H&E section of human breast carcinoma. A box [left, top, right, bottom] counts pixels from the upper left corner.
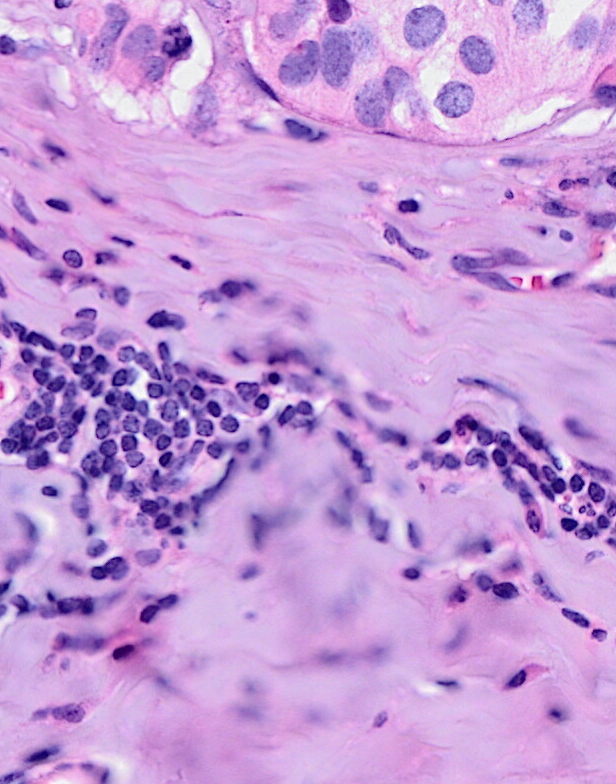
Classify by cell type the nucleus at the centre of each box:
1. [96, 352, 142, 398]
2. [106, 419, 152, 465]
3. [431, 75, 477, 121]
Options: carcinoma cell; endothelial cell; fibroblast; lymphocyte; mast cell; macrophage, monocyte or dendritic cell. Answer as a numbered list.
1. lymphocyte
2. lymphocyte
3. carcinoma cell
